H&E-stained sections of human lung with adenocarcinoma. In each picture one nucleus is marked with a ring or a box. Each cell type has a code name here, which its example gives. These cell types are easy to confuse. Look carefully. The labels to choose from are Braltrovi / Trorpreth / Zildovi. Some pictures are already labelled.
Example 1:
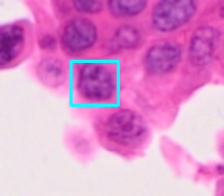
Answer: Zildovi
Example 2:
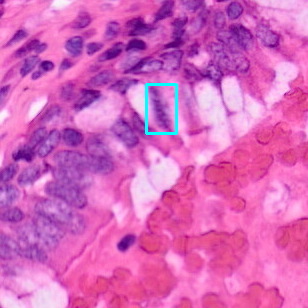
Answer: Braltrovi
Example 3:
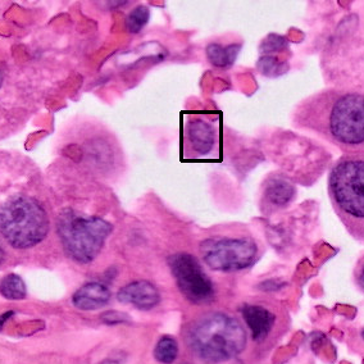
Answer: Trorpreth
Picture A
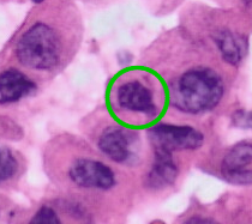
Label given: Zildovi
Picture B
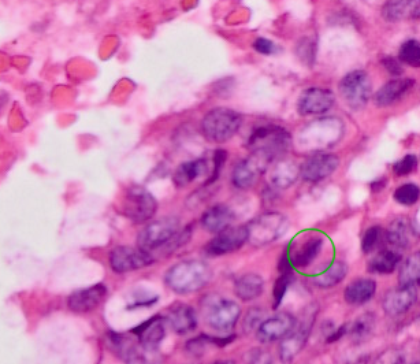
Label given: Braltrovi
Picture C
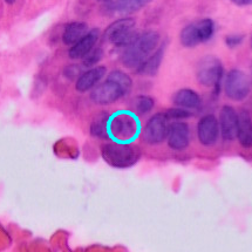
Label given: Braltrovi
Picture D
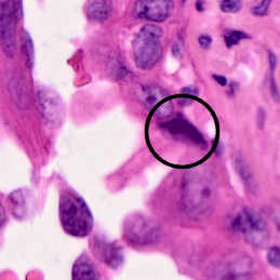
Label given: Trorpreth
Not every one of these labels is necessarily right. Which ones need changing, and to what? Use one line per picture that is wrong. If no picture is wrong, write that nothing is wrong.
D: not Trorpreth but Zildovi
